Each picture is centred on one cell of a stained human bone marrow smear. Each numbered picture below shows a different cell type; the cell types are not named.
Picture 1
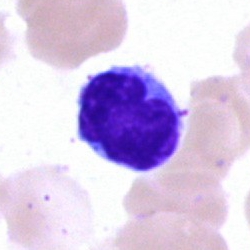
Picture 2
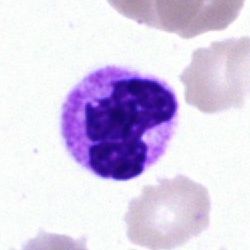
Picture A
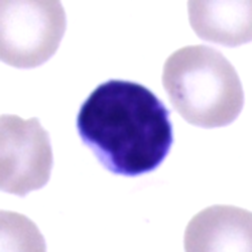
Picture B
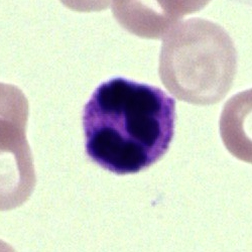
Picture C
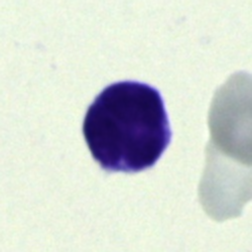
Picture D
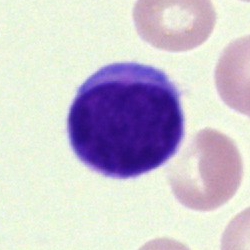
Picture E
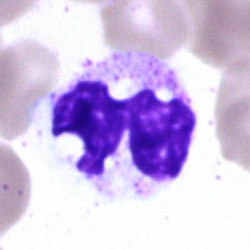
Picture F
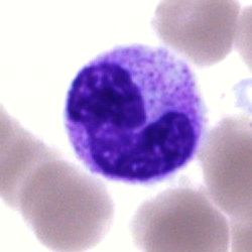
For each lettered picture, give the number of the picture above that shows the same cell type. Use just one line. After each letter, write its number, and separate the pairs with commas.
A 1, B 2, C 1, D 1, E 2, F 2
